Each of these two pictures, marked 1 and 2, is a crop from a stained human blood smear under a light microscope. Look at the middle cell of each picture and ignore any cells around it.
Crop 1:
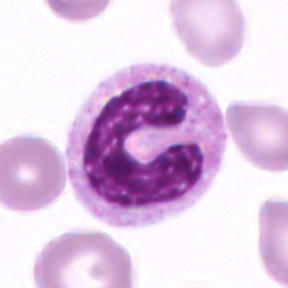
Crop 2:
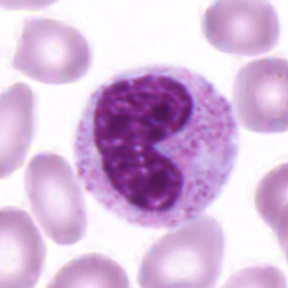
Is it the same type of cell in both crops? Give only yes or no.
yes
